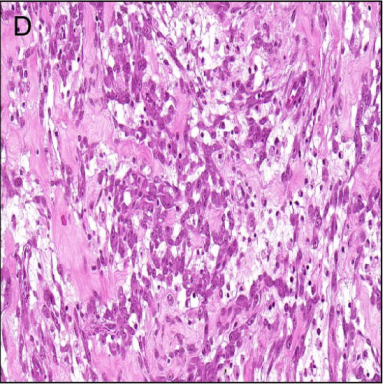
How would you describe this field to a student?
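This is a higher view of the tumor, where ovoid to plump spindle tumor cells with oval, purple nuclei and pale pink cytoplasm lie in loose groups and short strands. Between them run bands of pink collagenous stroma and pale, loose myxoid areas. Scattered smaller cells with dark round nuclei are mixed among the tumor cells, in keeping with a mild inflammatory infiltrate.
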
